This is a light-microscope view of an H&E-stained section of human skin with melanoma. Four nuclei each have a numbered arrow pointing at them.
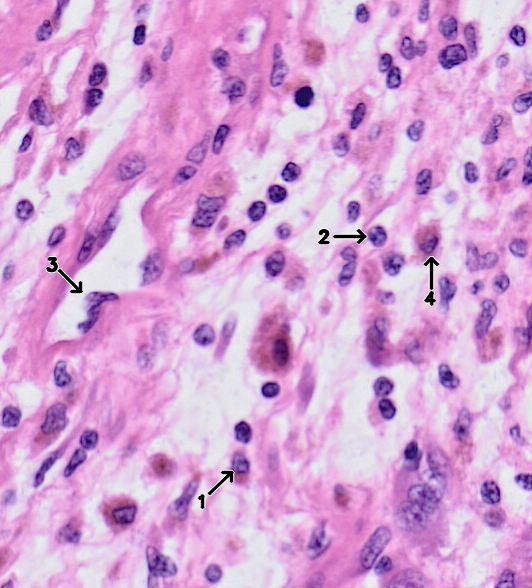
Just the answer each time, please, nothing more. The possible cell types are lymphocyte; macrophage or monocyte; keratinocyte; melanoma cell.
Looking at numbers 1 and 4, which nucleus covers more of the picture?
1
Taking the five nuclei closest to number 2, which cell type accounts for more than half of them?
macrophage or monocyte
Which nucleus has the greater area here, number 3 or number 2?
3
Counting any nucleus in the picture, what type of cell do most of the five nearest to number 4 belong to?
lymphocyte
